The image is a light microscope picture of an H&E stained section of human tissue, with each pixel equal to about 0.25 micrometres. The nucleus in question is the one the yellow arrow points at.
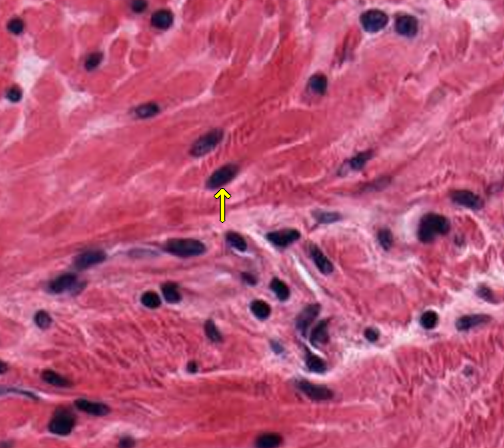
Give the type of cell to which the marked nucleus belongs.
smooth muscle cell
